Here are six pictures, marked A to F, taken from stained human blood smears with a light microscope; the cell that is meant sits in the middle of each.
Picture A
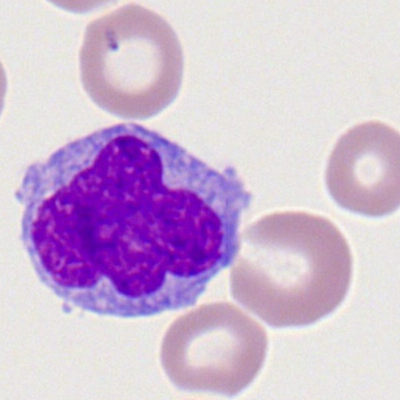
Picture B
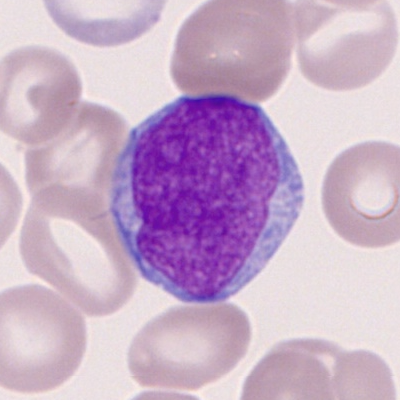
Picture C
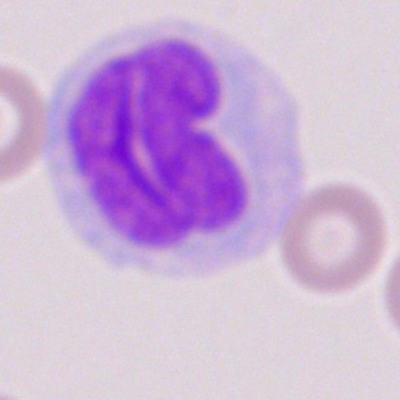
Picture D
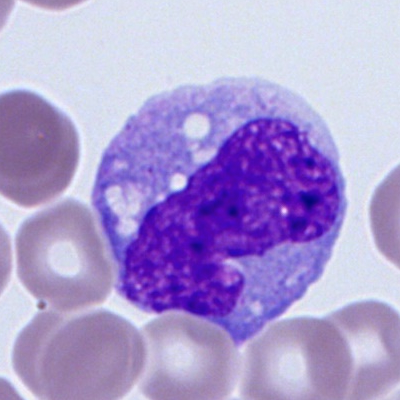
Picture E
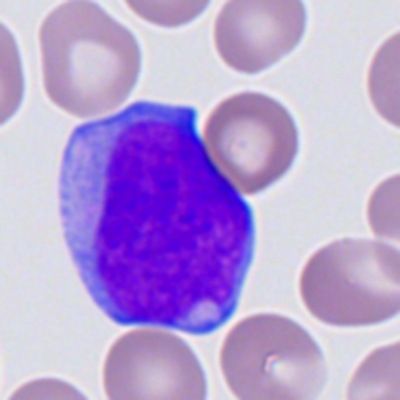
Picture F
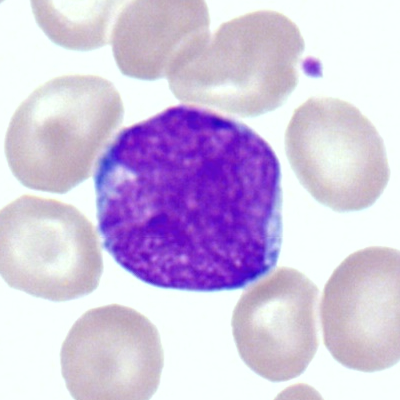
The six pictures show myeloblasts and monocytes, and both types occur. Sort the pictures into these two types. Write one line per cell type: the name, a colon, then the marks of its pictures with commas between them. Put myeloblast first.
myeloblast: B, E, F
monocyte: A, C, D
